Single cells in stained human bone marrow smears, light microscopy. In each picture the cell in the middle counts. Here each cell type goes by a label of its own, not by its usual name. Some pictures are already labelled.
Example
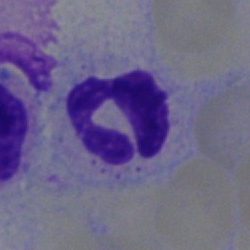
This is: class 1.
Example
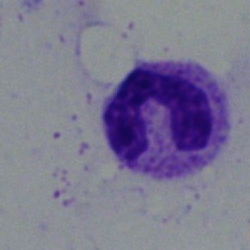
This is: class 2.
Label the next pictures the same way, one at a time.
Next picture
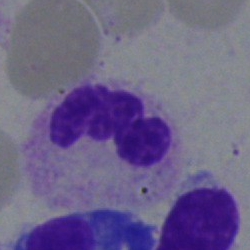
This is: class 1.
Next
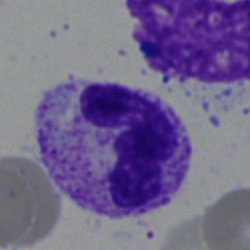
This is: class 1.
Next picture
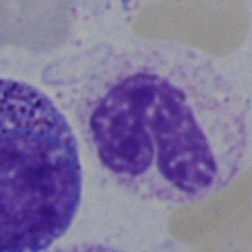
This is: class 2.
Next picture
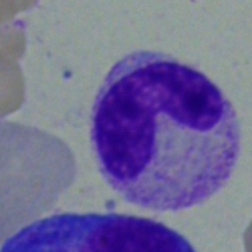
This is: class 2.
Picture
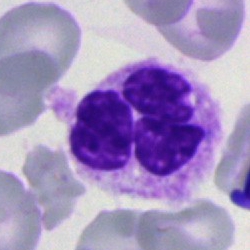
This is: class 1.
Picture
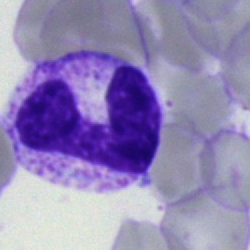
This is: class 2.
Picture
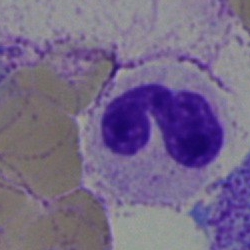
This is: class 2.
